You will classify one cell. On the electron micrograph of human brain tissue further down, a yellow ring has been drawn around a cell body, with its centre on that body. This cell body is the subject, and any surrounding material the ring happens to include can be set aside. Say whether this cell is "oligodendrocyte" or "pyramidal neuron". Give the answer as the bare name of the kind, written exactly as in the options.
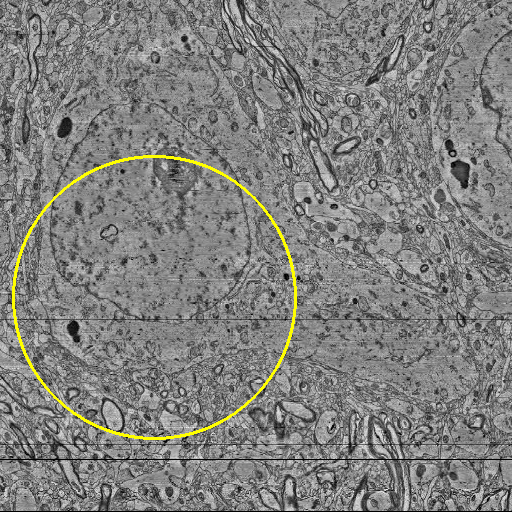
pyramidal neuron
